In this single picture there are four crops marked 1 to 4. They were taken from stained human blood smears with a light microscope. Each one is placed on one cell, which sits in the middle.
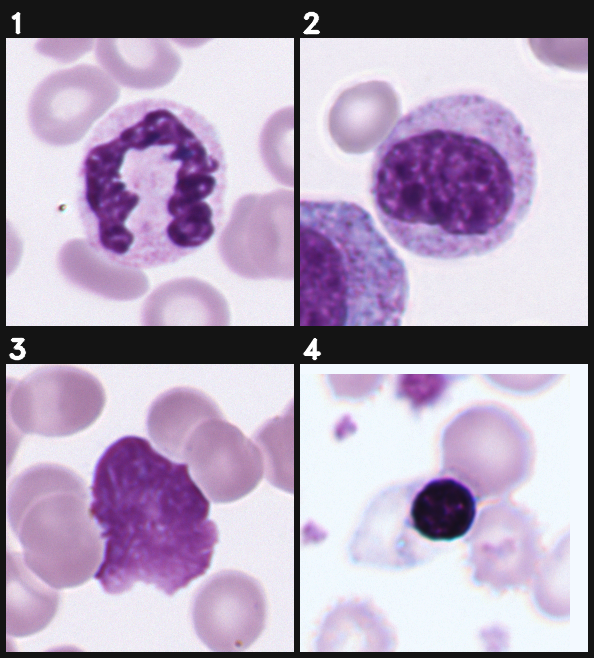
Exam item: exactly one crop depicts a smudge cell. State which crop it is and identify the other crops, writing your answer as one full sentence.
Crop 3 contains a smudge cell; meanwhile, crop 1 is a segmented neutrophil, crop 2 is a metamyelocyte and crop 4 is an erythroblast.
